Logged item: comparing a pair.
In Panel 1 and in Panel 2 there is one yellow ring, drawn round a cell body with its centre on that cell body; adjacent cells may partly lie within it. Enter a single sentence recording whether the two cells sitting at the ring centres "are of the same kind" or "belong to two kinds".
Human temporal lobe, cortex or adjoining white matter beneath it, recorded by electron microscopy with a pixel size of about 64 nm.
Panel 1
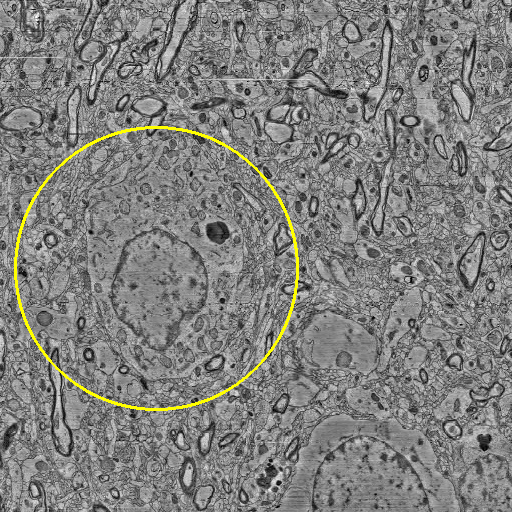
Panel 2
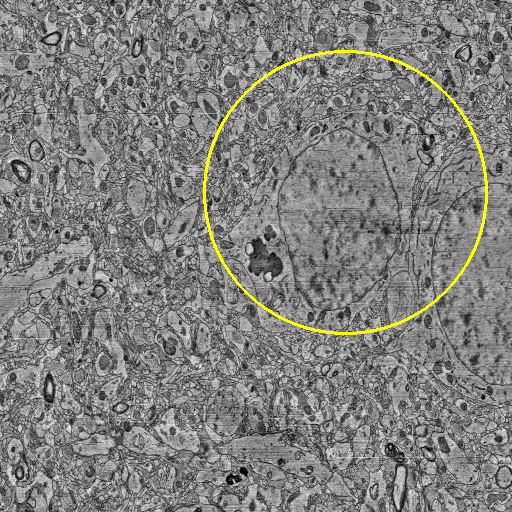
Logged: the cells centred in the rings of Panel 1 and Panel 2 are of the same kind.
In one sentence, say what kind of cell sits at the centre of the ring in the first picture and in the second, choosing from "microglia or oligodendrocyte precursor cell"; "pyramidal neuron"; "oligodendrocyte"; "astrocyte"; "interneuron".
Both cells are the same kind, each one being an interneuron.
